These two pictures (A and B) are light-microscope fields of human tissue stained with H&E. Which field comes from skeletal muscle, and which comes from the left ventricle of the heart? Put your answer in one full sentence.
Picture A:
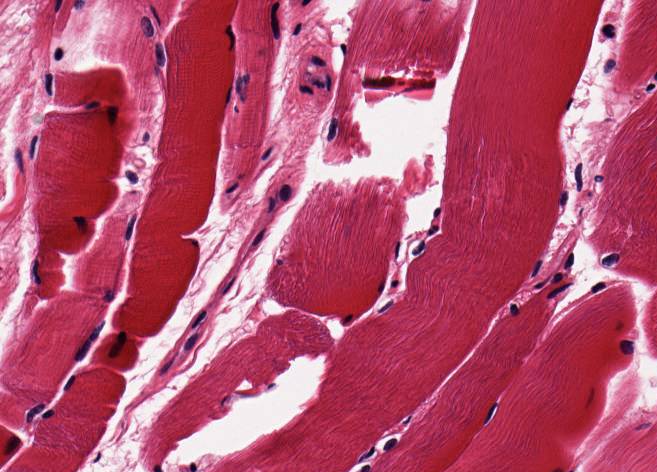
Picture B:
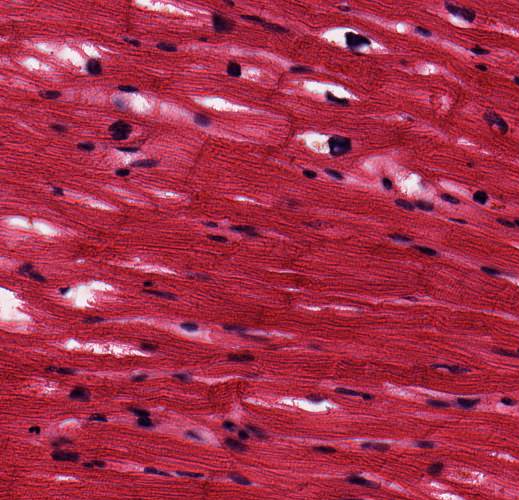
Picture A comes from skeletal muscle; picture B comes from the left ventricle of the heart.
